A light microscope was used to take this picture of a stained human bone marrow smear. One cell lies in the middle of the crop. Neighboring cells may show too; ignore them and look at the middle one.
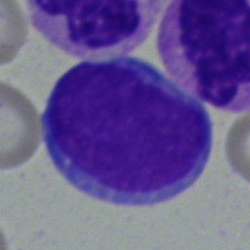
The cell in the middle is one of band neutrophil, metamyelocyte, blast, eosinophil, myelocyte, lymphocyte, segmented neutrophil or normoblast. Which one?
blast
